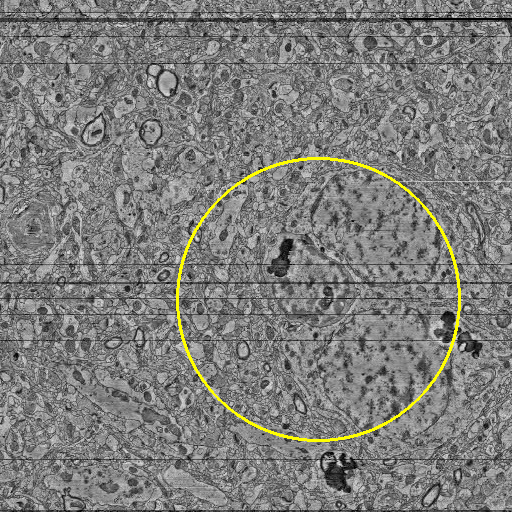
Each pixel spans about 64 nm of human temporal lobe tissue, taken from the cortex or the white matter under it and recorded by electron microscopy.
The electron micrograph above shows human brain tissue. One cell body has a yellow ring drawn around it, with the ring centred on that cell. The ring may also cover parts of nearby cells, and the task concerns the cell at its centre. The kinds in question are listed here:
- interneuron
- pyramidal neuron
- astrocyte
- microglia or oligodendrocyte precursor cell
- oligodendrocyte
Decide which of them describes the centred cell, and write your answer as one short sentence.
The centred cell is an oligodendrocyte.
